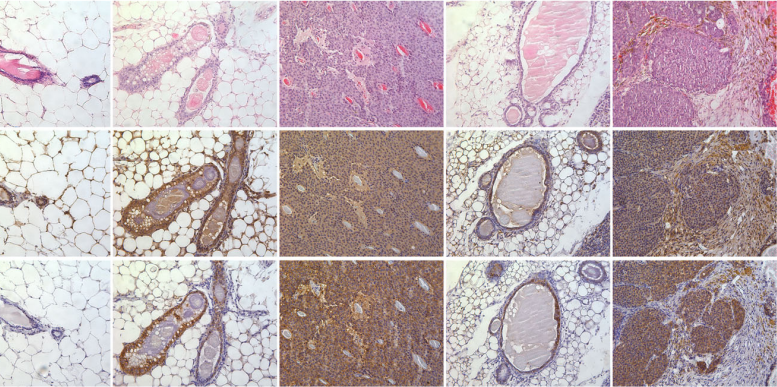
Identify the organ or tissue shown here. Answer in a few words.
mammary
